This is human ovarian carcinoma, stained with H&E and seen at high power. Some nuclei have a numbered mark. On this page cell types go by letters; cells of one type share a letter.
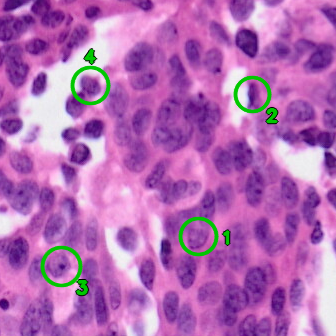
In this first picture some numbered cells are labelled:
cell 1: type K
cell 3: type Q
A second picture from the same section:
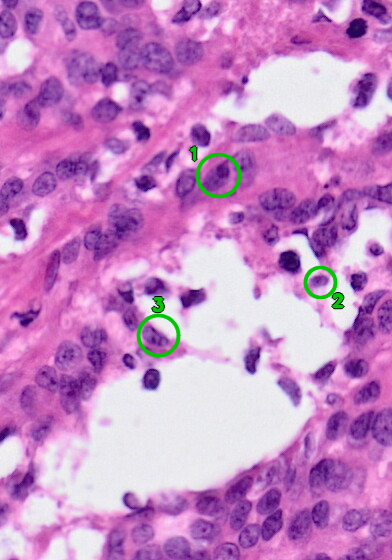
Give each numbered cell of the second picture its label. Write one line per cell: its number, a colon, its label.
1: type K
2: type K
3: type Q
